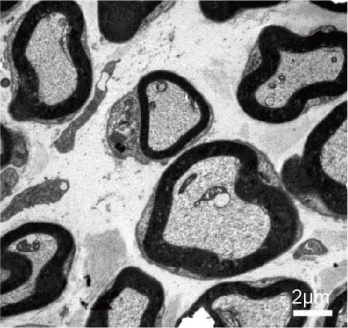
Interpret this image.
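This is a transverse electron micrograph of peripheral nerve showing several large myelinated axons cut in cross-section. Each axon has pale, finely granular axoplasm containing a few small vesicular organelles and is enclosed by a thick, compact, electron-dense myelin sheath. Between the fibers lies pale endoneurial space, with thin grey cytoplasmic profiles at the margins of some sheaths.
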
